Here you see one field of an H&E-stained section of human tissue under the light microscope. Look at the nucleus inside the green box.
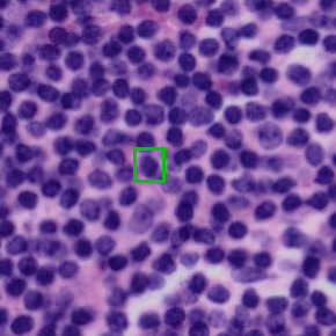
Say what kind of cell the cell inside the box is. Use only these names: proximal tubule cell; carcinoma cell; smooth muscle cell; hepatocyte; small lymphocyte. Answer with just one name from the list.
small lymphocyte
